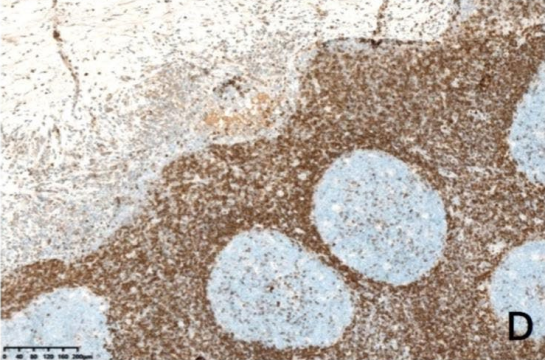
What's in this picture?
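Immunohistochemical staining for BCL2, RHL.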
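This is lymphoid tissue with several rounded germinal centres set within a dense sheet of small lymphocytes. The germinal centres are pale blue and largely unstained, with only scattered brown cells, and appear as sharply bounded round islands. Around them the small lymphocytes are densely and uniformly stained brown, forming a continuous dark zone. At the upper left the lymphoid tissue gives way to paler, looser fibrous tissue with spindle-shaped cells and little brown stain, with a faint orange-brown area near the border. The contrast between unstained follicle centres and stained surrounding lymphocytes outlines the follicles clearly.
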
